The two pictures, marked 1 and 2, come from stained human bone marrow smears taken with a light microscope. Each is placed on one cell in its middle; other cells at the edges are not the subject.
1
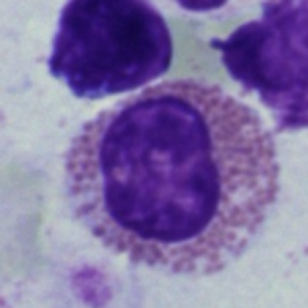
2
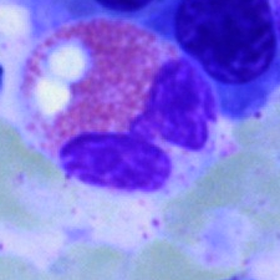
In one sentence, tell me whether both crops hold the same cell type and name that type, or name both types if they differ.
Yes, both crops show eosinophils in their central position.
